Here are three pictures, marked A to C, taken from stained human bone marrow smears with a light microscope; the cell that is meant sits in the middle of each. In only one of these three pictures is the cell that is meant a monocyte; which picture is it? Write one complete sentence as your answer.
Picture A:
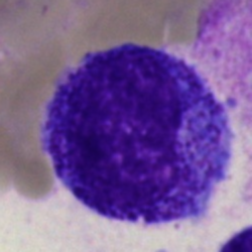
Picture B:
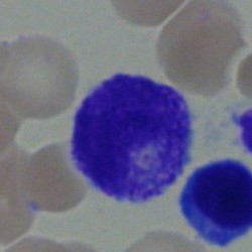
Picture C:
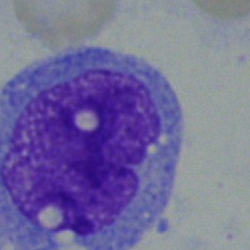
It is picture C that shows the monocyte.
